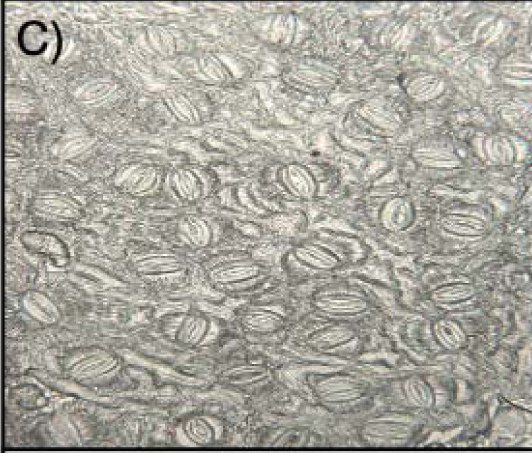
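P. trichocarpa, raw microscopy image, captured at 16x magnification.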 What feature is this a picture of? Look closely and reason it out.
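Many elliptical pores, each bordered by two curved, bean-shaped cells. These paired structures are scattered over the whole field at fairly even spacing and in varied orientations.
Answer: Stomata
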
